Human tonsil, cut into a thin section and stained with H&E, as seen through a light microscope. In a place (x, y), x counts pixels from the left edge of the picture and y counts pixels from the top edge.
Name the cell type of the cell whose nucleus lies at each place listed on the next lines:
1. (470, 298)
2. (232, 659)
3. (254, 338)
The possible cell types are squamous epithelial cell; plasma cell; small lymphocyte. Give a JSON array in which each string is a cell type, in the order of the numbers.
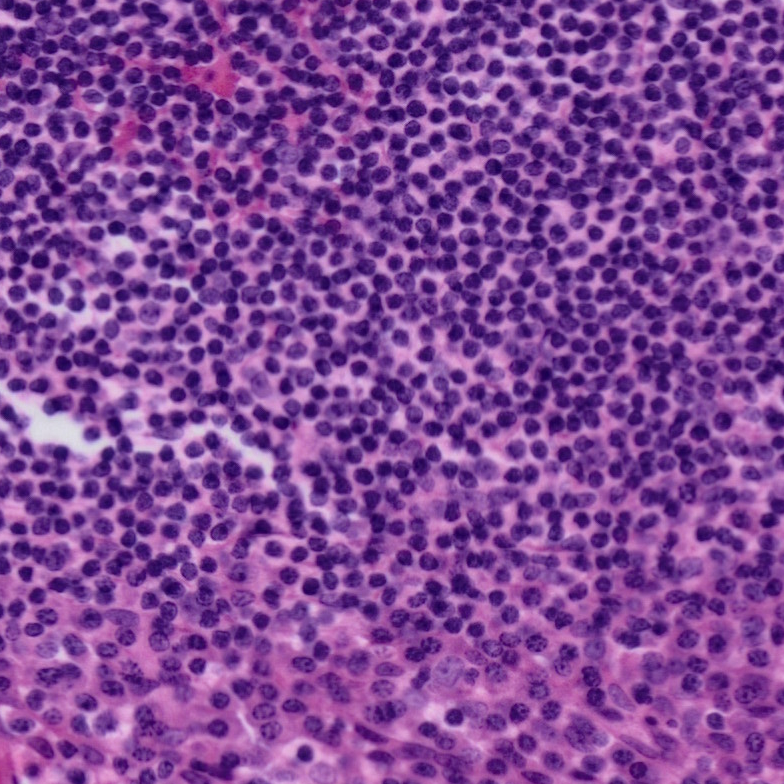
["small lymphocyte", "plasma cell", "small lymphocyte"]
